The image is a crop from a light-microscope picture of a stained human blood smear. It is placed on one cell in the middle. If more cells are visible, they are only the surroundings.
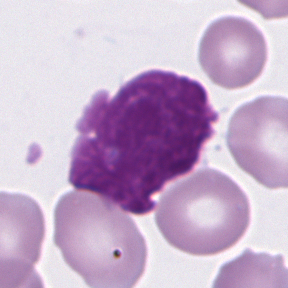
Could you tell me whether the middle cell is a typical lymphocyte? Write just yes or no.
no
